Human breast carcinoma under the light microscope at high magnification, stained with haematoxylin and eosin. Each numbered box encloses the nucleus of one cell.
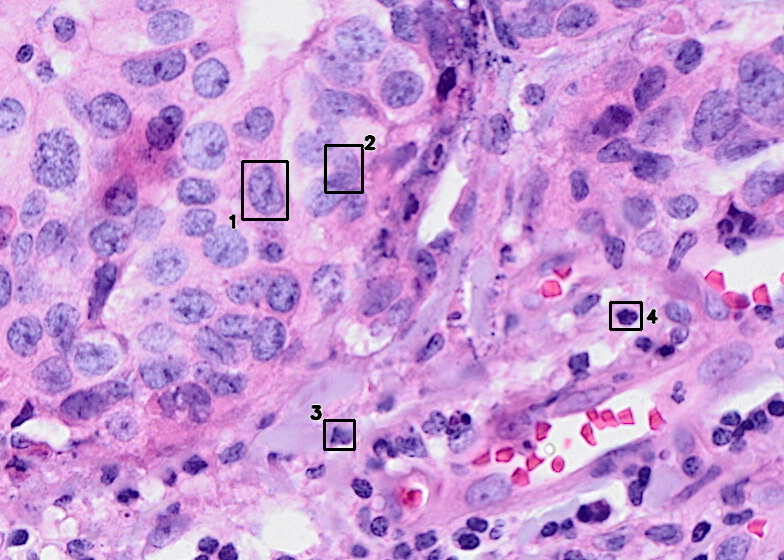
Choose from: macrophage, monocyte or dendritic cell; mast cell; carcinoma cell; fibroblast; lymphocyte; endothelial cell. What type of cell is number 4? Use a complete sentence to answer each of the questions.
The cell that goes by number 4 is a lymphocyte.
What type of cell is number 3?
The cell referenced by the number 3 is a lymphocyte in this field.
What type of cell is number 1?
The cell pointed out as number 1 is a carcinoma cell.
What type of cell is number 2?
Cell 2, among those numbered, is a carcinoma cell.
